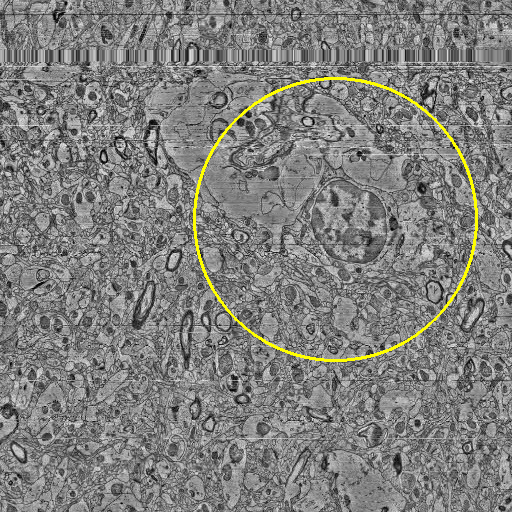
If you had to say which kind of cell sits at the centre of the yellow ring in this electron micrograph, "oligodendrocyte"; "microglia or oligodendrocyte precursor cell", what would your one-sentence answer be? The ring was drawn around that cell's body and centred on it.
The cell sitting at the centre of the ring is a microglial cell or oligodendrocyte precursor cell.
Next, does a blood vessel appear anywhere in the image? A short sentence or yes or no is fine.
Yes, a vessel shows somewhere in the image.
